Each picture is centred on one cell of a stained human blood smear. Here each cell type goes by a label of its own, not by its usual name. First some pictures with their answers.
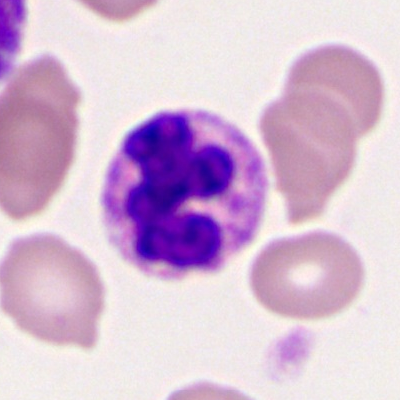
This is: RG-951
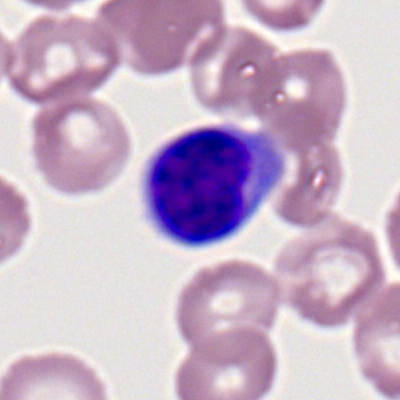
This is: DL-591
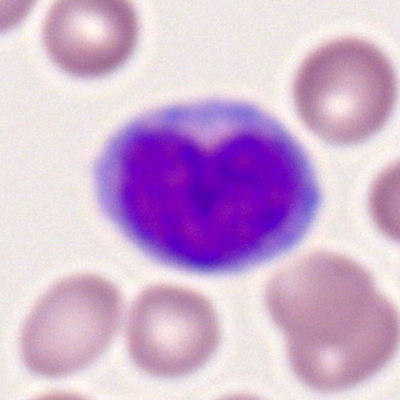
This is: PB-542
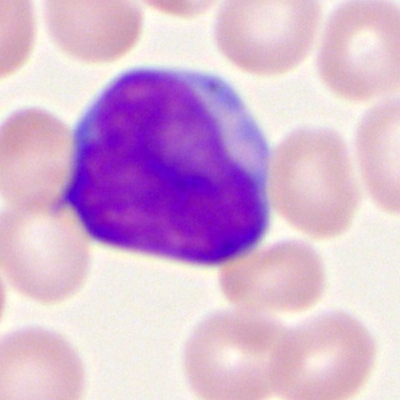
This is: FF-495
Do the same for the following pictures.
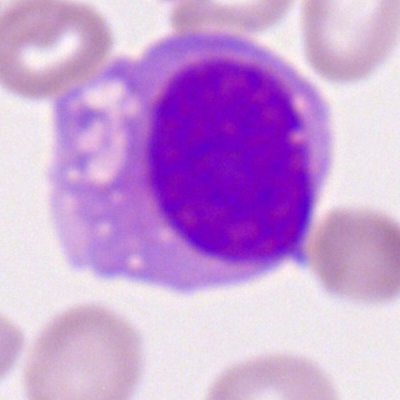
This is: PB-542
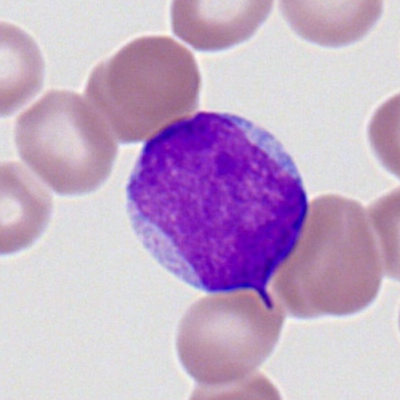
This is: FF-495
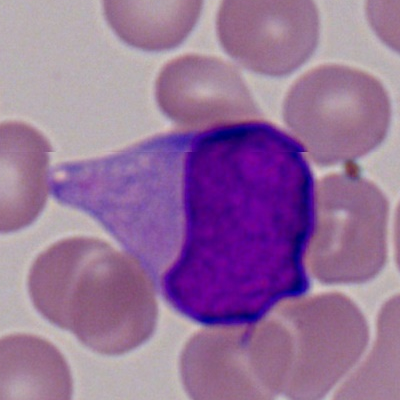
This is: FF-495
